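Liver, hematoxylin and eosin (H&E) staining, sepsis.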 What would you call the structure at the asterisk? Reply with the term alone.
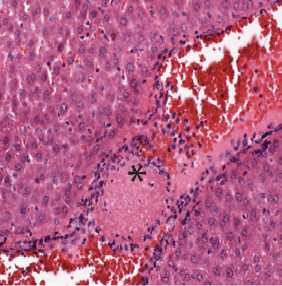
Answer: clots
